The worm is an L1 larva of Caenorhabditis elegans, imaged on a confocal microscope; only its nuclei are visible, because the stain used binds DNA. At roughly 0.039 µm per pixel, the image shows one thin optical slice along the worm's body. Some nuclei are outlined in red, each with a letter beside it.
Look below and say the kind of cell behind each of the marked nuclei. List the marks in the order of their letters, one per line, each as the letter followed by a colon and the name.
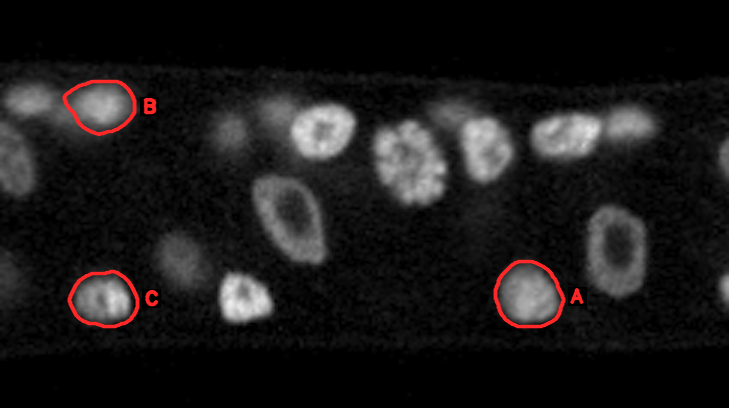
A: body wall muscle cell
B: neuron
C: body wall muscle cell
